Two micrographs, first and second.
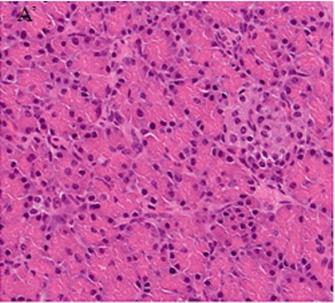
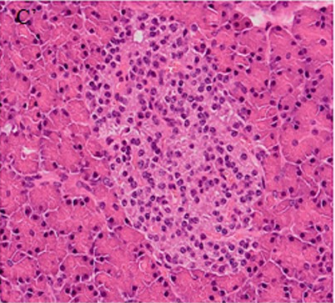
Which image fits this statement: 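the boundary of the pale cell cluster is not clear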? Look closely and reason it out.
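Second image: a large pale cluster of tightly packed nuclei stands out sharply from the surrounding acini. First image: the pale cell group blends into the surrounding pink acinar cells without a clear edge.
Conclusion: the first image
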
